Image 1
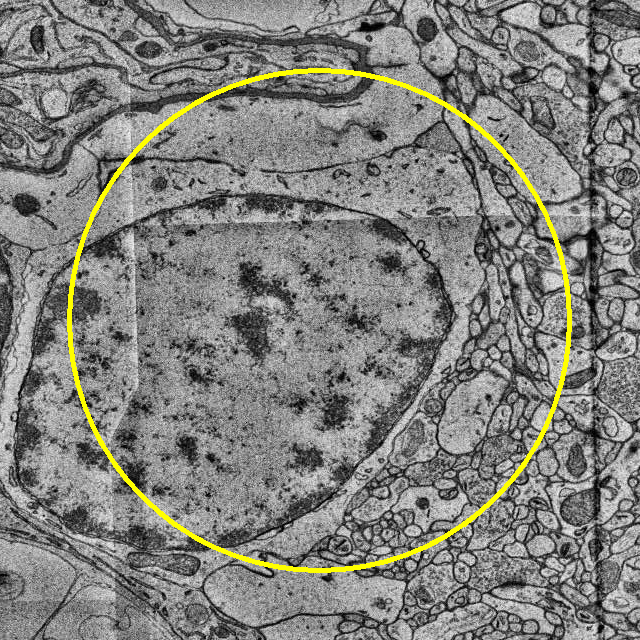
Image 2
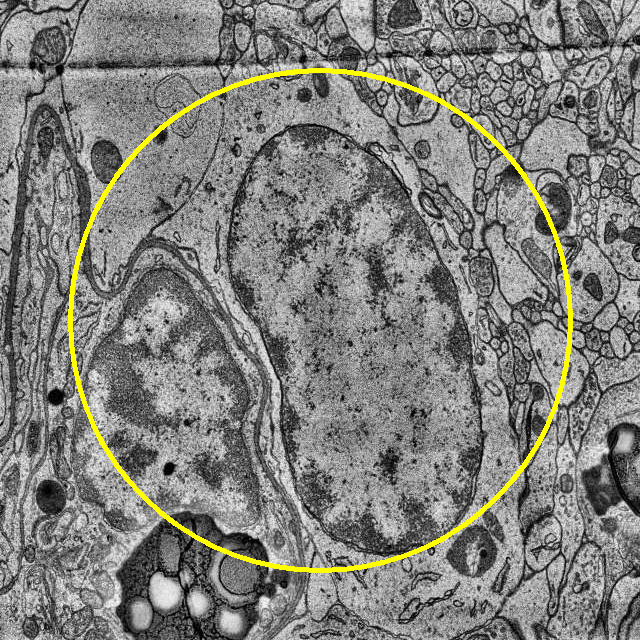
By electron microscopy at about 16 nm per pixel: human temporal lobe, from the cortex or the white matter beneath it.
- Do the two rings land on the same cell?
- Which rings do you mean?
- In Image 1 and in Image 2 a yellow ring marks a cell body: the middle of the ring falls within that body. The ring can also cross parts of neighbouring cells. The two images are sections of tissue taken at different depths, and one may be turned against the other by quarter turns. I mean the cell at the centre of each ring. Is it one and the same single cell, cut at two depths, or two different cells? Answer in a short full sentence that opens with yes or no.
Yes, the same cell turns up inside each of the two rings.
